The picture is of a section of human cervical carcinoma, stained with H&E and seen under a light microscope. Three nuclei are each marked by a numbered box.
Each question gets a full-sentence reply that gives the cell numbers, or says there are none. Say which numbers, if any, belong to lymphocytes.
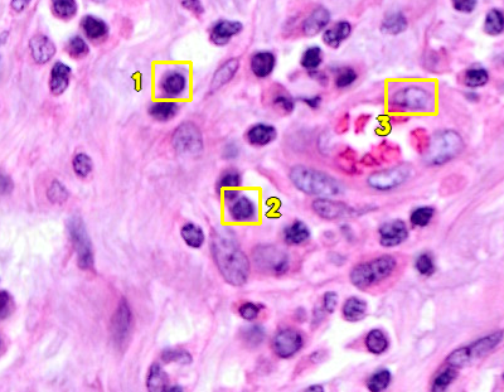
The cells numbered 1 and 2 are identified as lymphocytes.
